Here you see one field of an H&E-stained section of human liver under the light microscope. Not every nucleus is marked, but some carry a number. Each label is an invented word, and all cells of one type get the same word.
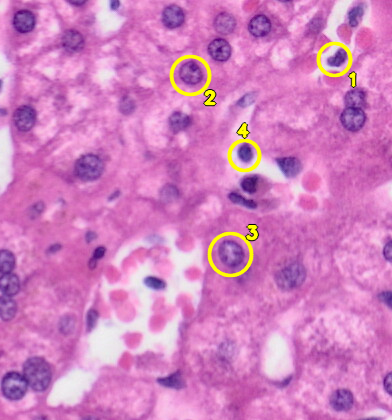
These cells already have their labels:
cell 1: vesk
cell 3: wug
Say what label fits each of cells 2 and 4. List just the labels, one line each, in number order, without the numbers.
wug
vesk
